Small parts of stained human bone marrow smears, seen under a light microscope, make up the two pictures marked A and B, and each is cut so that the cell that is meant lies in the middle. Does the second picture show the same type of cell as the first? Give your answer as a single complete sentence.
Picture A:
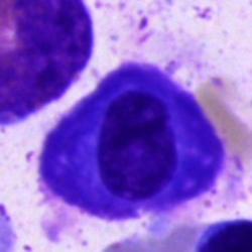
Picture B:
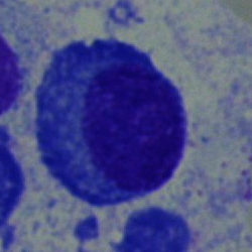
Yes, the two pictures both show plasma cells.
